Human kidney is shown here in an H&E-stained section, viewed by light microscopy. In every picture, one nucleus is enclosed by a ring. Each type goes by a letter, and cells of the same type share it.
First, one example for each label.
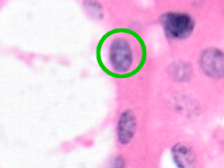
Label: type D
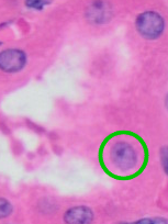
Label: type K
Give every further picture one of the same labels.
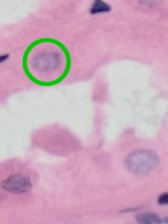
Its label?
type K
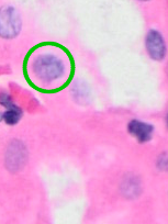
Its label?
type D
